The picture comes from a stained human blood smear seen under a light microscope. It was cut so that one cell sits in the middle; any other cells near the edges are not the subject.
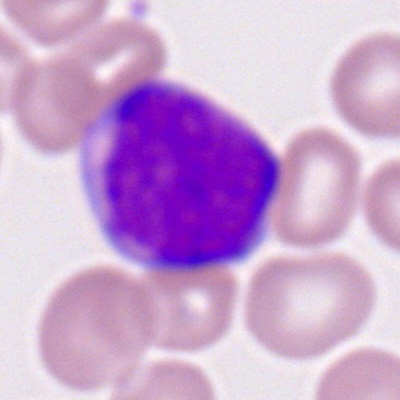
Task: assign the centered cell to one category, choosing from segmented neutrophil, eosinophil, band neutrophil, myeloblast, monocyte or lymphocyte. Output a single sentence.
Centred in the crop is a myeloblast.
